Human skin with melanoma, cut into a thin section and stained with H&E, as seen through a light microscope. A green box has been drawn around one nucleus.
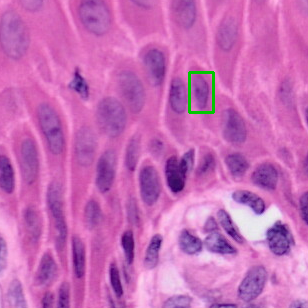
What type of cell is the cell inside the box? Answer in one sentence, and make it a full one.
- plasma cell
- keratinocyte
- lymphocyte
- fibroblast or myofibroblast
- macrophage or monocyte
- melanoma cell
It is as a keratinocyte that the cell inside the box is classified.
